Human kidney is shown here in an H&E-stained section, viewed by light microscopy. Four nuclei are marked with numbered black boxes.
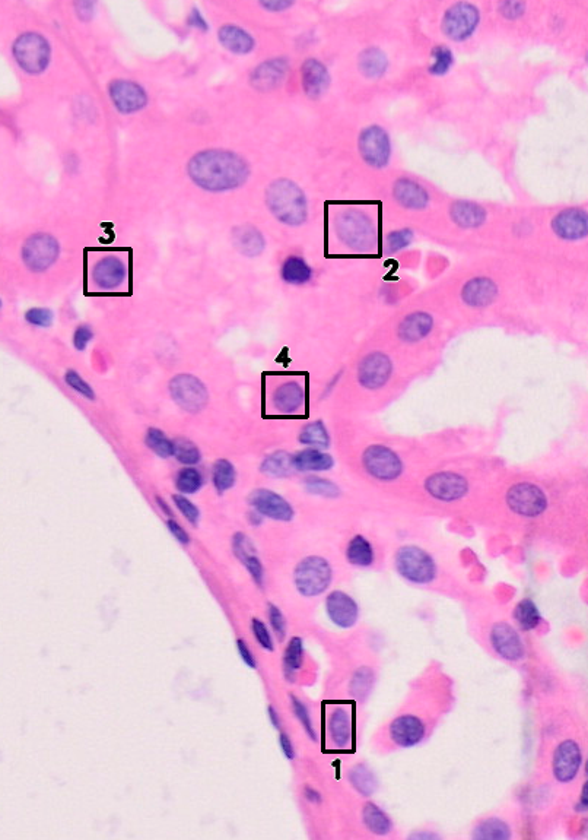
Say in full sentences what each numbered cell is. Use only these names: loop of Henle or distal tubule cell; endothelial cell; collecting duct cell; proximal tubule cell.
Cell 1 is a collecting duct cell. Cells 2, 3 and 4 are proximal tubule cells.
